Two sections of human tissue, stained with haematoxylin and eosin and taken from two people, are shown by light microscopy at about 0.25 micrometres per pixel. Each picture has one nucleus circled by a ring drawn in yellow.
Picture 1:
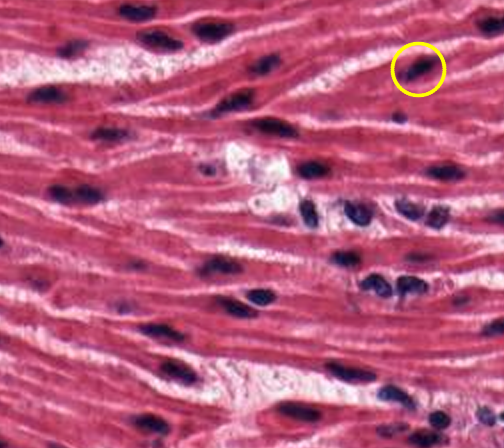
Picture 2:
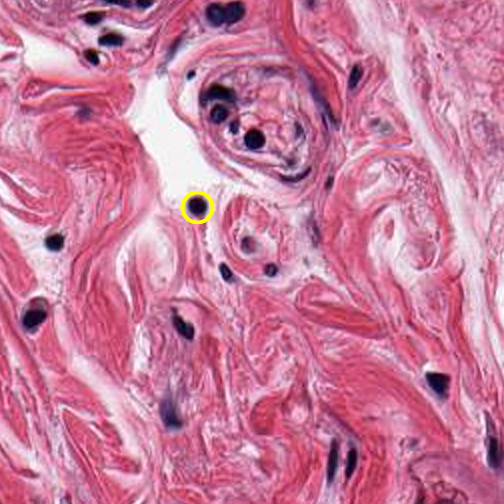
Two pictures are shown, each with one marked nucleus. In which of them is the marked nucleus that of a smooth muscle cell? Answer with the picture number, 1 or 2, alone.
1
